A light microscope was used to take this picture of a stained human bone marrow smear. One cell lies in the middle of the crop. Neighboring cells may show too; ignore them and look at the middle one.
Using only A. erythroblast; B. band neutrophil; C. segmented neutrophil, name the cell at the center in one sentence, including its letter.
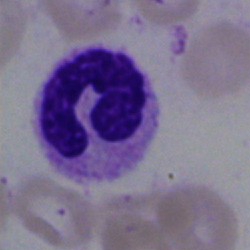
Option C holds, for the cell in the middle is a segmented neutrophil.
